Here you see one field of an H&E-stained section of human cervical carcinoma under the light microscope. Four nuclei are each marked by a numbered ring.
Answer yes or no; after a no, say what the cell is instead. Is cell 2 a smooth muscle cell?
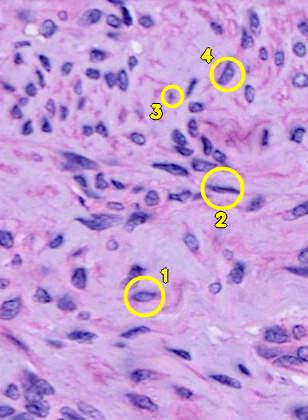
No, it is a fibroblast.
